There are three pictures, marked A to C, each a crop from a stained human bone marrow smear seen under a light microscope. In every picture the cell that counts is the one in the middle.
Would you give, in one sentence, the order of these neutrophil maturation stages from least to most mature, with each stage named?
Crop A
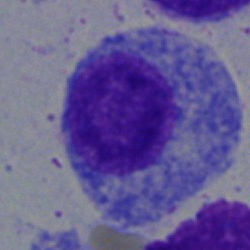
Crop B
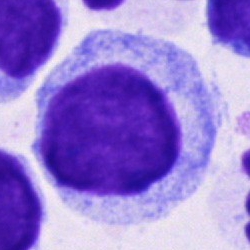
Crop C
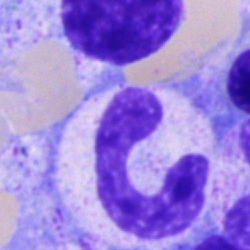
Along the maturation pathway, from earliest to latest, the order is crop B (a promyelocyte), crop A (a myelocyte) and crop C (a band neutrophil).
